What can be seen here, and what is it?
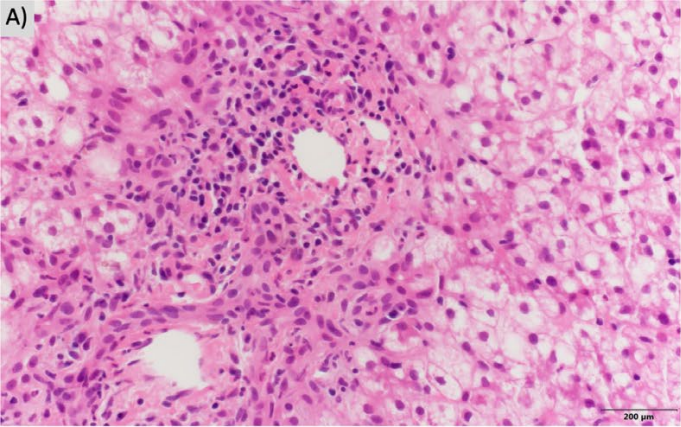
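This is liver tissue in which the hepatocytes look swollen and pale. Their cytoplasm is clear and wispy, with fine pink strands, and some hold rounded empty spaces. Their nuclei are round and sit centrally. In the middle lies a portal-type area crowded with small, darkly staining round nuclei of inflammatory cells, mixed with small duct-like structures and spindle-shaped cells. Two round empty lumens lie within and beside this area.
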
